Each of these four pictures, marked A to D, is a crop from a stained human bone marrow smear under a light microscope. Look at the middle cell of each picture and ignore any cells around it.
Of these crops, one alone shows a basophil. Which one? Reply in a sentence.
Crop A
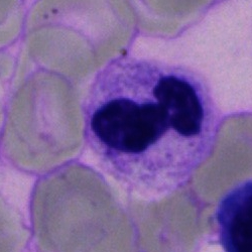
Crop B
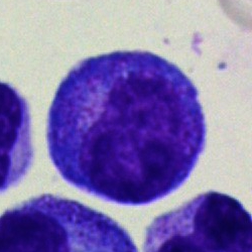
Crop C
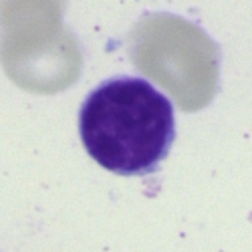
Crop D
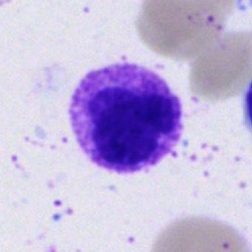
It is crop D that shows a basophil.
